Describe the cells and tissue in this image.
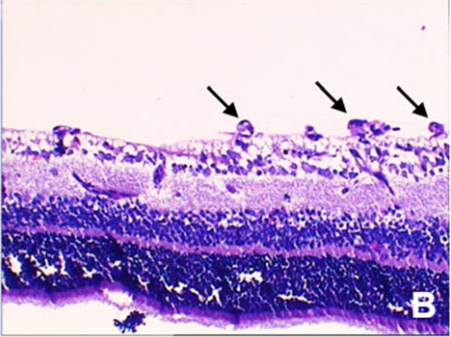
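This is a cross-section of retina stained with hematoxylin and eosin, with its layers running horizontally across the image and the inner surface at the top. Near the top, scattered purple nuclei lie in a loose pale pink layer, and below it is a broad pale pink band with few nuclei. Beneath this come two dense bands of closely packed dark purple nuclei, separated by a thin paler band. Clusters of purple nuclei sit on the inner surface and bulge above it into the clear space over the tissue. Some elongated nuclei are also seen within the upper layers just beneath these clusters.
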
